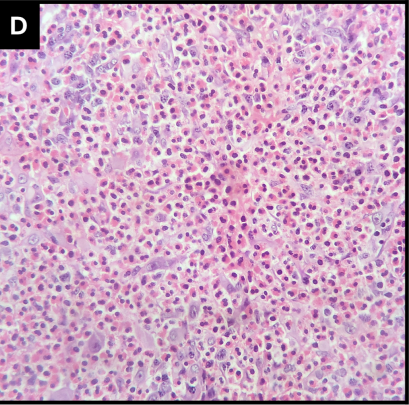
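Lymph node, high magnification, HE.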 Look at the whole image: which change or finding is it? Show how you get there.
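Eosinophil-rich polymorphic infiltrate. Many cells have bright pink-red granular cytoplasm. Many nuclei are small and lobed. The cells are a mixture of different sizes and shapes rather than one uniform type.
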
